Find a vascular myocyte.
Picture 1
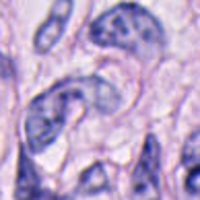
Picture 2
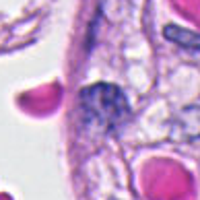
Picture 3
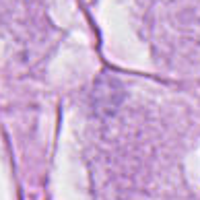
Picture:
1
